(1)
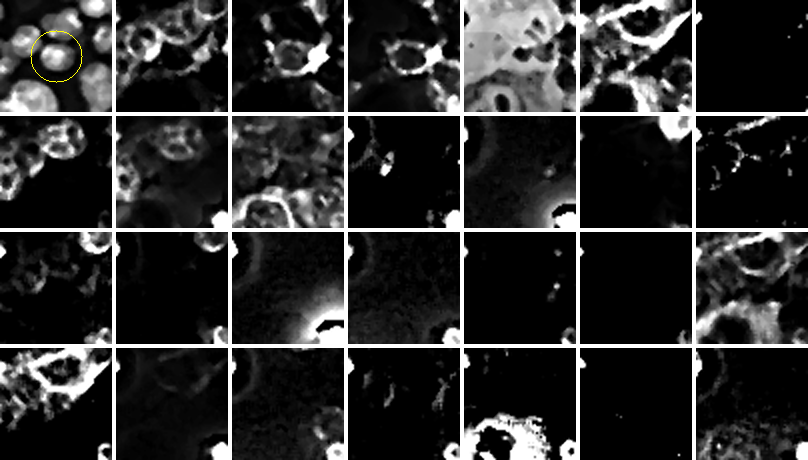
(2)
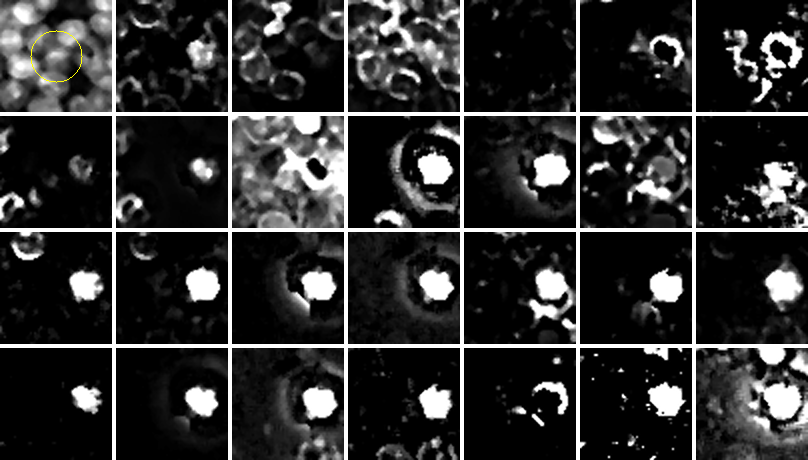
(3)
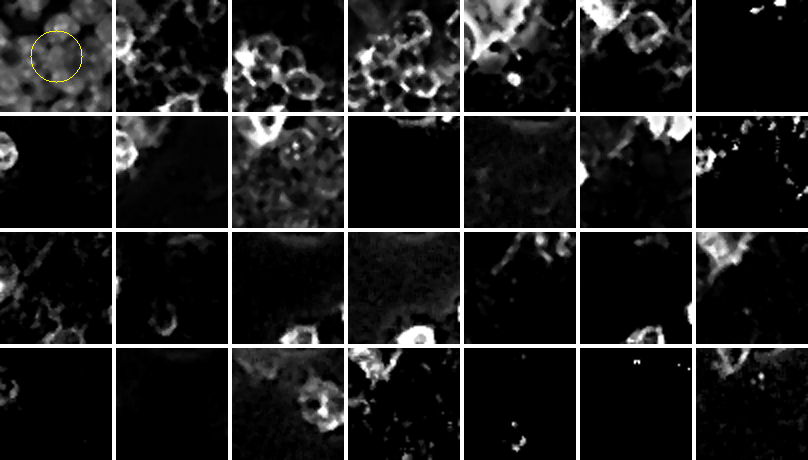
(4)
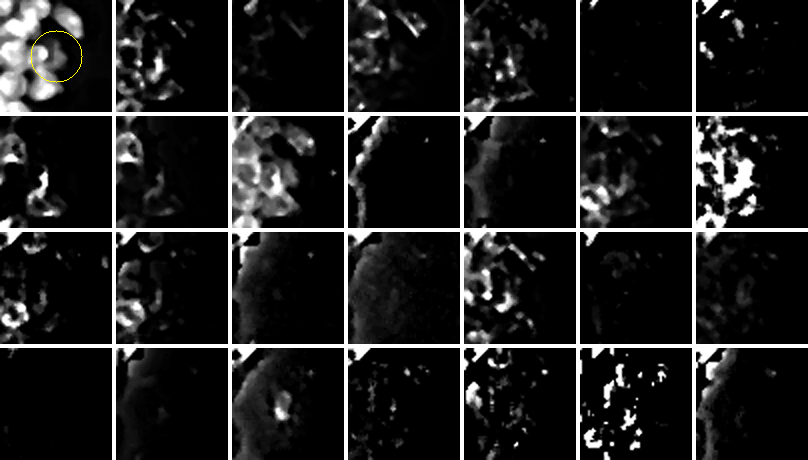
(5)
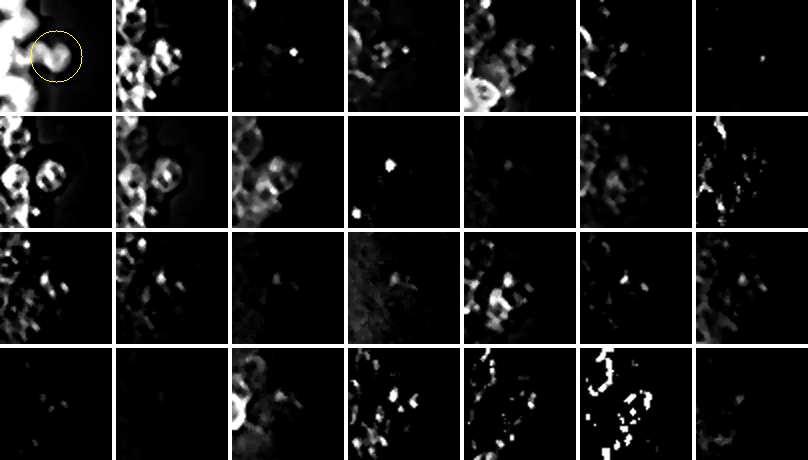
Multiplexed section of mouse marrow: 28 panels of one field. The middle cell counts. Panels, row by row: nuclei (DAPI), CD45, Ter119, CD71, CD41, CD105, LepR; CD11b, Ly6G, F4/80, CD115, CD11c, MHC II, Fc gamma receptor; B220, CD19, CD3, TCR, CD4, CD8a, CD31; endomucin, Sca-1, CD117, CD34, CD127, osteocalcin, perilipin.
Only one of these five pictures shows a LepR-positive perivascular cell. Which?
Picture 2.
